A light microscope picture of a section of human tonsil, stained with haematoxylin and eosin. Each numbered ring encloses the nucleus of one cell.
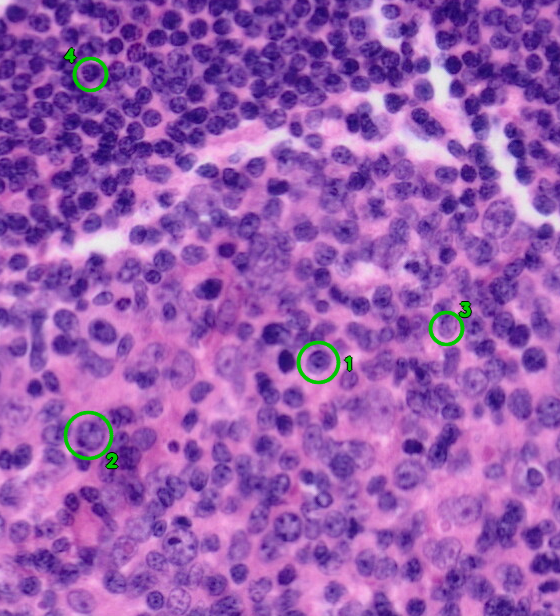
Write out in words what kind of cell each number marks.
Cells 1, 2 and 3 are proliferating B cells. Cell 4 is a small lymphocyte.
